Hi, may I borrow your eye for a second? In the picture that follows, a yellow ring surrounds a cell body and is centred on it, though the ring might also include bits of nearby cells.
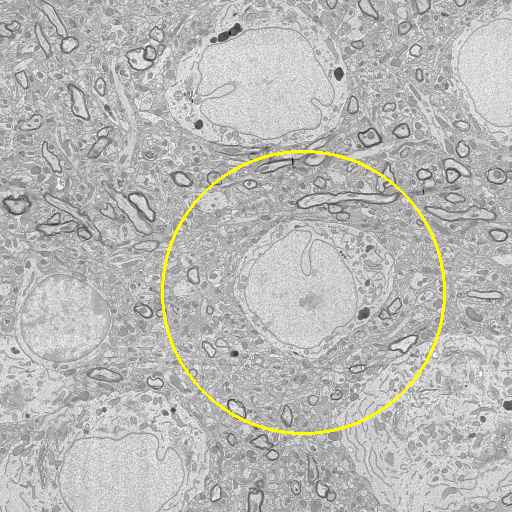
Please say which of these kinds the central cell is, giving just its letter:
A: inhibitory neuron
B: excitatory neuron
A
